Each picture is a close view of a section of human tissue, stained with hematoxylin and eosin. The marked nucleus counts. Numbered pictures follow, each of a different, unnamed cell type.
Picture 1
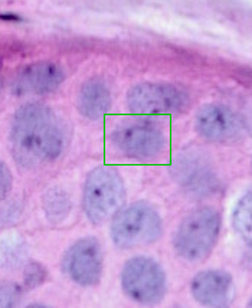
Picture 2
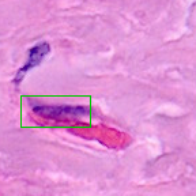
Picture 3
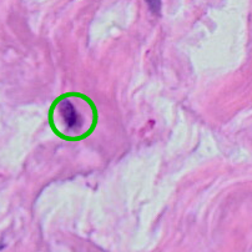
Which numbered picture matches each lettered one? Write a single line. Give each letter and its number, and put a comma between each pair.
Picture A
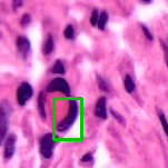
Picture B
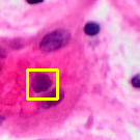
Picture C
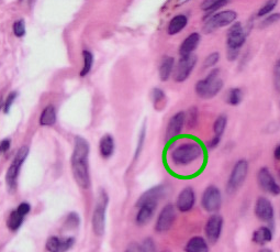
A 2, B 2, C 2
